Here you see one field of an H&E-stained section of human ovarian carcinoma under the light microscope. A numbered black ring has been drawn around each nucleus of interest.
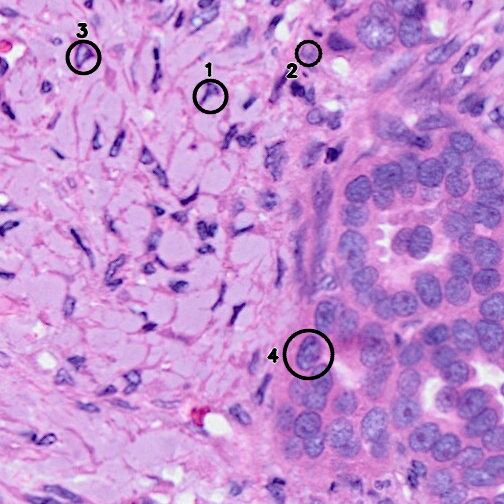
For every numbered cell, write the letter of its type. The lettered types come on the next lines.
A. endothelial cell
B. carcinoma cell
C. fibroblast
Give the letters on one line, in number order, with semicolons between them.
C; C; C; B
